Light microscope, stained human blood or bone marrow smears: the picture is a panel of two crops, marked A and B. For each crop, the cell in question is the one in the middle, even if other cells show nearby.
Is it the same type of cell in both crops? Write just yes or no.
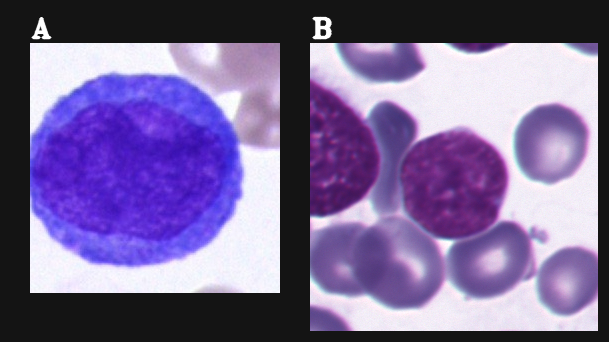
yes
